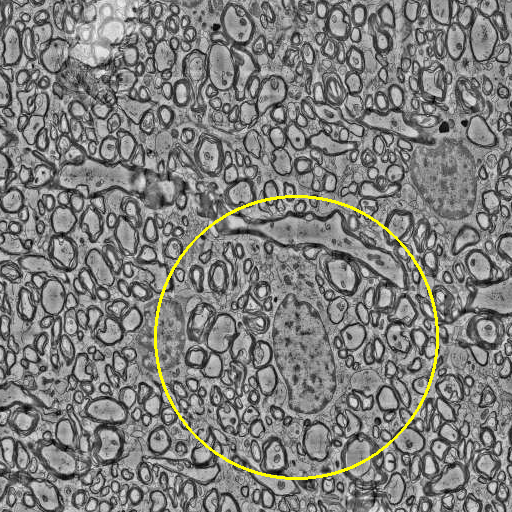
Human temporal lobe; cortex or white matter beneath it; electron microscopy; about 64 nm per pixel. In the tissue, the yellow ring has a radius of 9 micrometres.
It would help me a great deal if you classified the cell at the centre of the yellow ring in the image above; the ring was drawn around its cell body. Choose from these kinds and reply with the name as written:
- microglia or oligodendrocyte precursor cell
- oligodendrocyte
microglia or oligodendrocyte precursor cell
